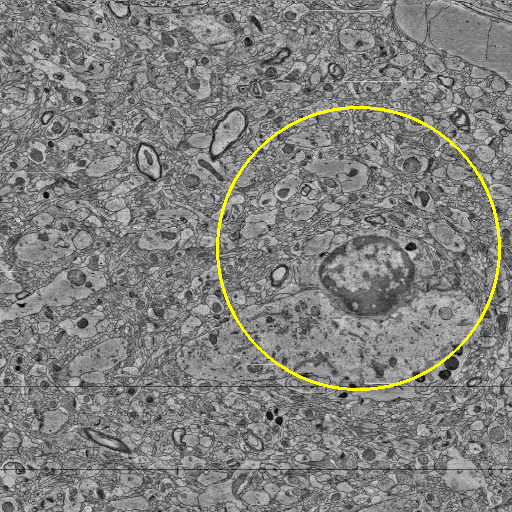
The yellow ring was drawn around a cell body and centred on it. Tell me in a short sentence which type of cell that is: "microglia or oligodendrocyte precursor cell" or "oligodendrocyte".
The cell at the ring's centre is a microglial cell or oligodendrocyte precursor cell.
